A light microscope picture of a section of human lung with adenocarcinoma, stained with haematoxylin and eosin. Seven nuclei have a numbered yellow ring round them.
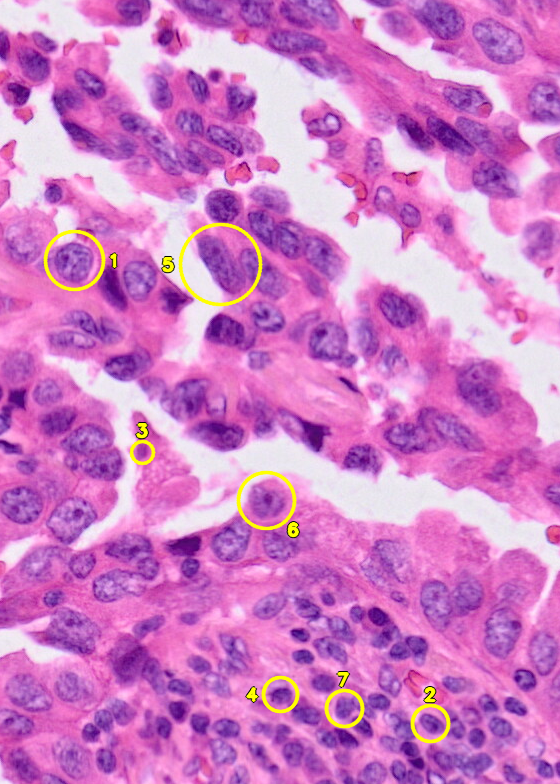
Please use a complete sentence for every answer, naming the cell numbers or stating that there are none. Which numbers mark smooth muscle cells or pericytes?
Whichever numbered cell is considered, it is not one of the smooth muscle cells or pericytes.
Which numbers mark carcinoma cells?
The cells the numbers 1, 3, 5 and 6 point to are carcinoma cells.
